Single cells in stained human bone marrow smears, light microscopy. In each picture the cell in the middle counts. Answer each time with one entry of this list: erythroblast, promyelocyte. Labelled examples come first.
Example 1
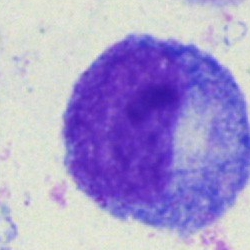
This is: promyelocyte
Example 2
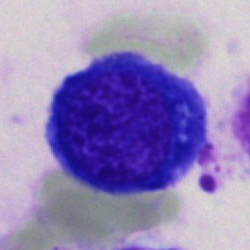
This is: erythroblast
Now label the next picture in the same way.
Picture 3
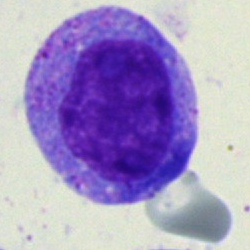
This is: promyelocyte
